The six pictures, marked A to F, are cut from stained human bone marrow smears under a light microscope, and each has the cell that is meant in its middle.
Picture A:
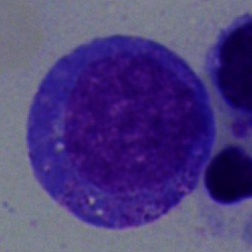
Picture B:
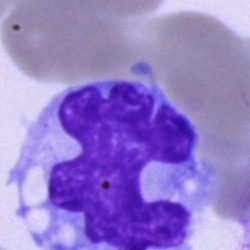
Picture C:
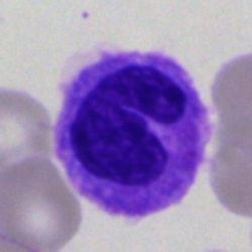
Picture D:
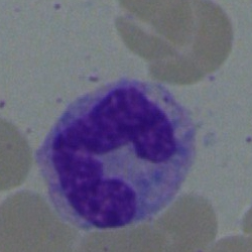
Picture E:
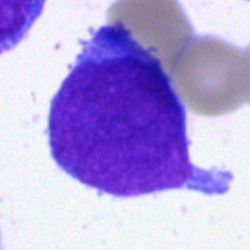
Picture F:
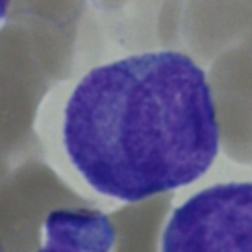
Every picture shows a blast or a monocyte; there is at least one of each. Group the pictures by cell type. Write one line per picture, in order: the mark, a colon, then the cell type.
A: blast
B: monocyte
C: monocyte
D: monocyte
E: blast
F: blast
